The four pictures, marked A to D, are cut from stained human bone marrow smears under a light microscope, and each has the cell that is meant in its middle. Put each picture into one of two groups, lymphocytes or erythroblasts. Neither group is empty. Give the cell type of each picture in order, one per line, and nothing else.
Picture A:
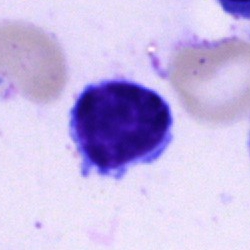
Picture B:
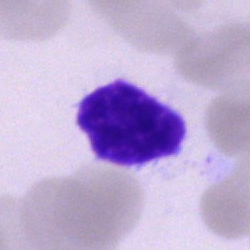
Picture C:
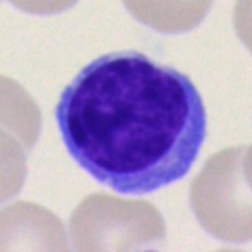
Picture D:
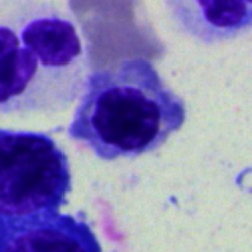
lymphocyte
lymphocyte
lymphocyte
erythroblast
